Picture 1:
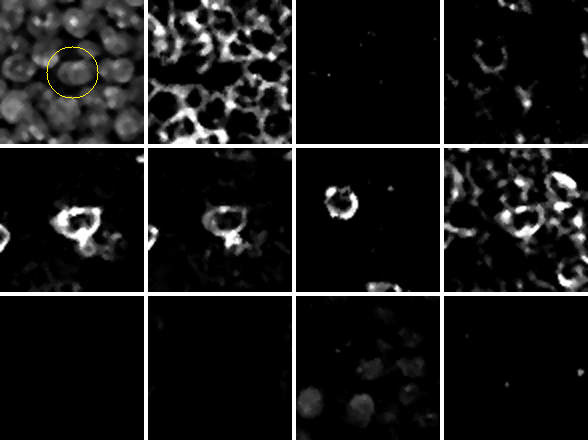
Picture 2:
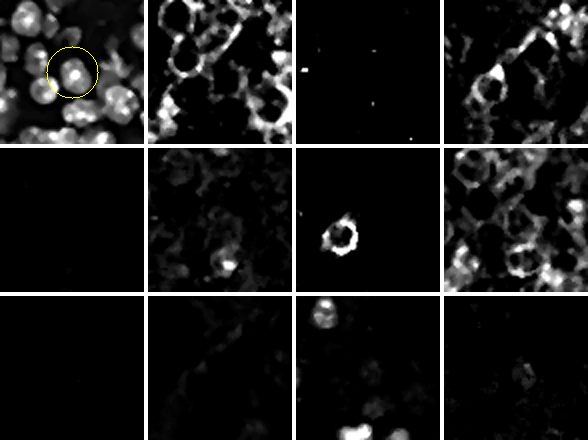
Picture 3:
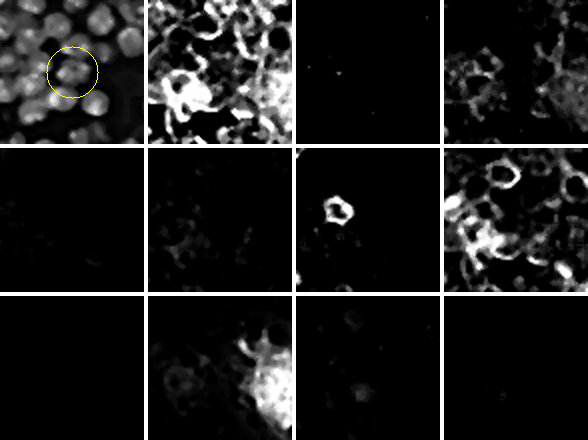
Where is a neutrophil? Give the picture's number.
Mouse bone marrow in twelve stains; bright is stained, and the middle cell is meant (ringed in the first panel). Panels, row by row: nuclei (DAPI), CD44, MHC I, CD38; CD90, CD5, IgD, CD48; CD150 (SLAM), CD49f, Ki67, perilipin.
3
